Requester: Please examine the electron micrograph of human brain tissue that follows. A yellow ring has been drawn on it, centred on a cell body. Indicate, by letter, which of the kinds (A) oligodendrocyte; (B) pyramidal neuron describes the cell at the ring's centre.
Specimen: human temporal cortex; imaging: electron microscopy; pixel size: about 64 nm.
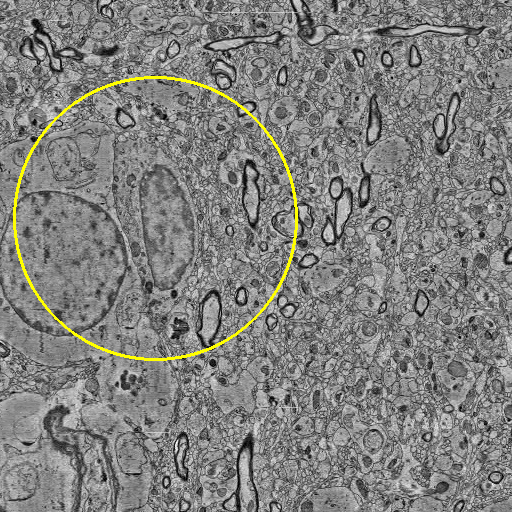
A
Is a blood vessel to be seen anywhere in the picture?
Yes, one is visible.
